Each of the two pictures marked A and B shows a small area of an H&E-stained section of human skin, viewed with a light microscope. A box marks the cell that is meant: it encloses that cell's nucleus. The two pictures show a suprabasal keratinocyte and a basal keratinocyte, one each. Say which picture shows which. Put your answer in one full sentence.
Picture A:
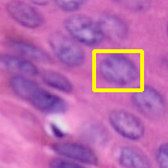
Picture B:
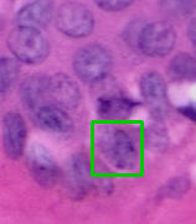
Picture A shows a suprabasal keratinocyte and picture B shows a basal keratinocyte.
